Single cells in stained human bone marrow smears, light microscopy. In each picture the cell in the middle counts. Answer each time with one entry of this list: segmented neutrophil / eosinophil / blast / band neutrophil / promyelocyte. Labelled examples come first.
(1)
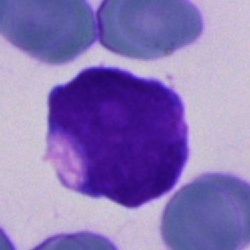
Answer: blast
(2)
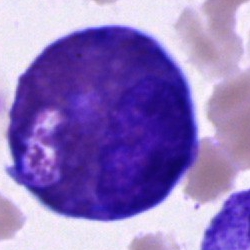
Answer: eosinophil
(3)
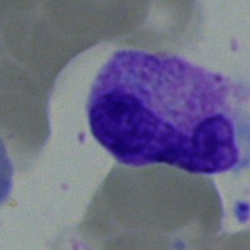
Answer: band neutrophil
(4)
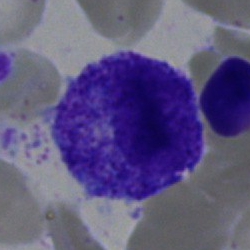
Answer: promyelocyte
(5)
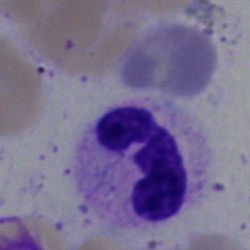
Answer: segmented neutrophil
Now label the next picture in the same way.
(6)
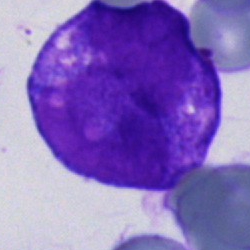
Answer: blast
